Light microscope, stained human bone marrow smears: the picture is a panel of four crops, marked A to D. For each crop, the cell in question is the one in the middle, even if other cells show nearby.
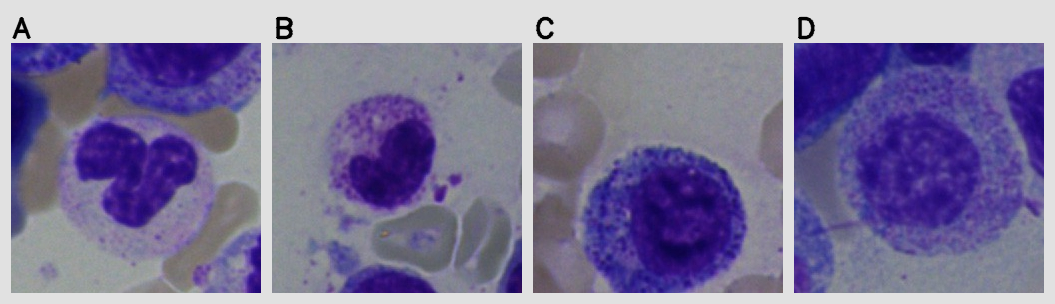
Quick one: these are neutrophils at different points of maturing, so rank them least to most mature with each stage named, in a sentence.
From least mature through to most mature, the order is crop C (a promyelocyte), crop D (a myelocyte), crop B (a band neutrophil) and crop A (a segmented neutrophil).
